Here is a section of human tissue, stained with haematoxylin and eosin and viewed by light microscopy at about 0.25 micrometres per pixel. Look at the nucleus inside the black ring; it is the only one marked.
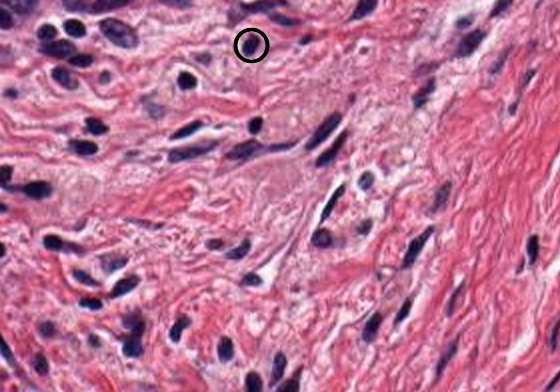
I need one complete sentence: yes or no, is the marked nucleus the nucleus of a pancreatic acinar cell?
No, a supporting cell rather than a pancreatic acinar cell is the cell of the marked nucleus.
